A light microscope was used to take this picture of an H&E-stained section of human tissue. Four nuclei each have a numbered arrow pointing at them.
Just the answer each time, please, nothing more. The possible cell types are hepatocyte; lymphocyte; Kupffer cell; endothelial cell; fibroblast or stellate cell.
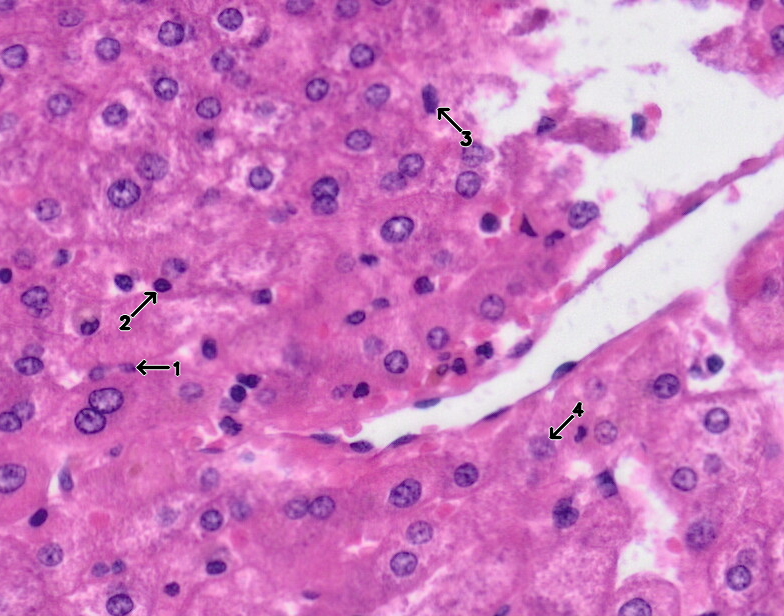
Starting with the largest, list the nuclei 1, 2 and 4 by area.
4, 2, 1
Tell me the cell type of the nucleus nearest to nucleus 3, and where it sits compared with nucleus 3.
a hepatocyte to the left of nucleus 3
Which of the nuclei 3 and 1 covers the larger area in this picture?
3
